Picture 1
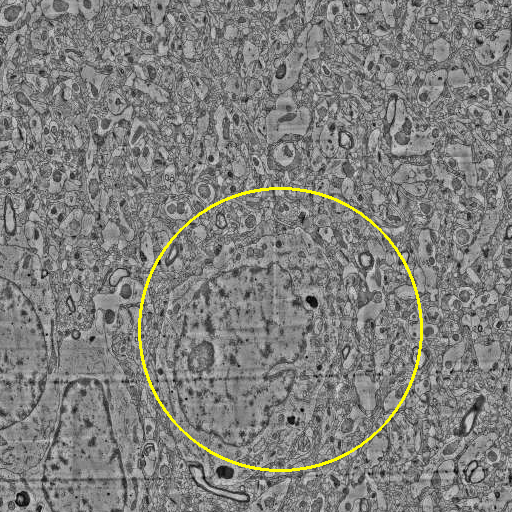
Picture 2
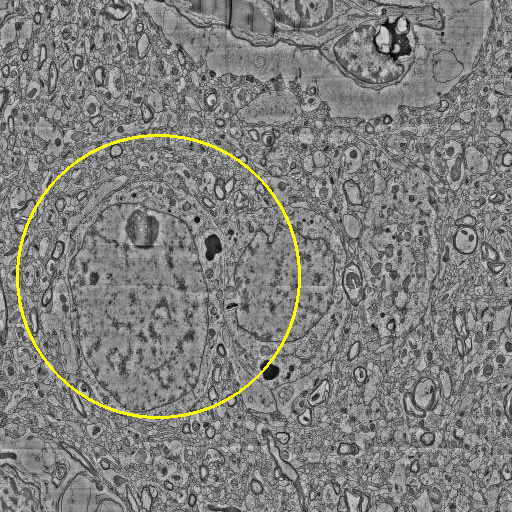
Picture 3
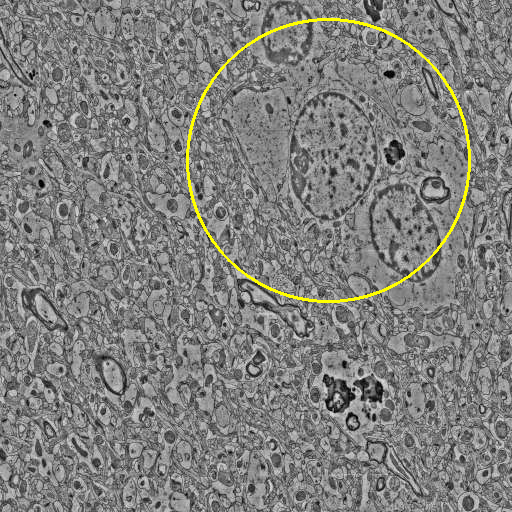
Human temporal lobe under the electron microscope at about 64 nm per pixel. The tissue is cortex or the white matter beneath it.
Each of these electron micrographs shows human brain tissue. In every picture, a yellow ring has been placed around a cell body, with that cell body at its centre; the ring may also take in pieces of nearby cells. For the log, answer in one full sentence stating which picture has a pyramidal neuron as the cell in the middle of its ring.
In picture 2, the cell at the centre of the yellow ring is the requested one.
